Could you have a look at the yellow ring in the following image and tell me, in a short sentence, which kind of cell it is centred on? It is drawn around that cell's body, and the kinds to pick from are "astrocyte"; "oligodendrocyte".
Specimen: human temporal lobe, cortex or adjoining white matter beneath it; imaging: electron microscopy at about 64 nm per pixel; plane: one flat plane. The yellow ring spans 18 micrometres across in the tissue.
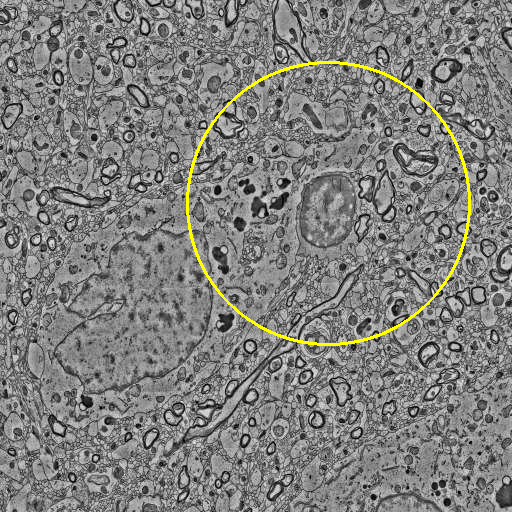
The ring is centred on the body of an oligodendrocyte.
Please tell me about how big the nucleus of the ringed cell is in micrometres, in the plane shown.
The nucleus comes to roughly 5 by 3 micrometres in this plane.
